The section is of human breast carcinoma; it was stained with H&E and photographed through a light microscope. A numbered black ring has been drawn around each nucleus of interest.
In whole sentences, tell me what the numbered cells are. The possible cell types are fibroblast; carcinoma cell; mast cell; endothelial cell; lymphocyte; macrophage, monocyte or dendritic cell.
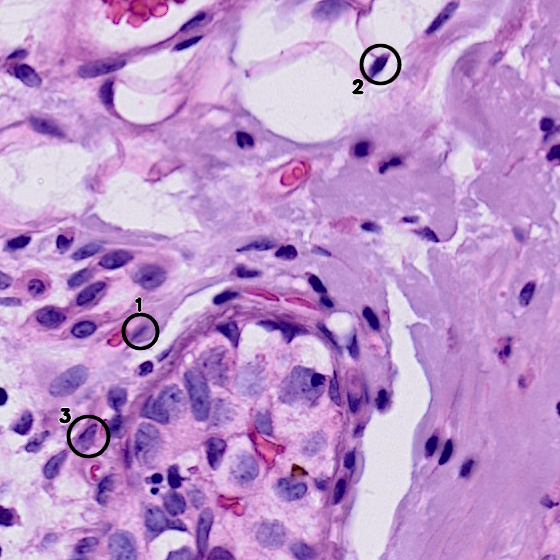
Cell 1 is an endothelial cell, cell 2 is a fibroblast and cell 3 is an endothelial cell.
